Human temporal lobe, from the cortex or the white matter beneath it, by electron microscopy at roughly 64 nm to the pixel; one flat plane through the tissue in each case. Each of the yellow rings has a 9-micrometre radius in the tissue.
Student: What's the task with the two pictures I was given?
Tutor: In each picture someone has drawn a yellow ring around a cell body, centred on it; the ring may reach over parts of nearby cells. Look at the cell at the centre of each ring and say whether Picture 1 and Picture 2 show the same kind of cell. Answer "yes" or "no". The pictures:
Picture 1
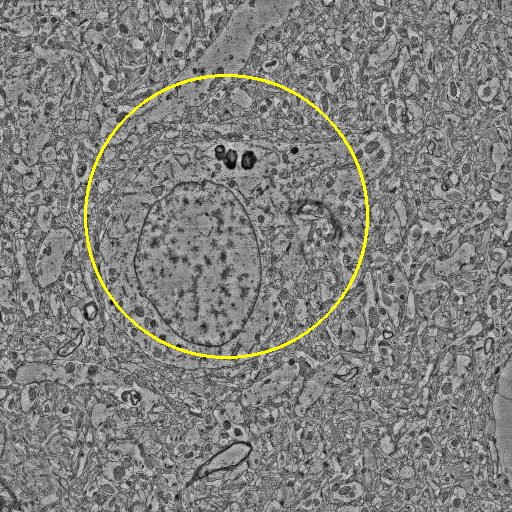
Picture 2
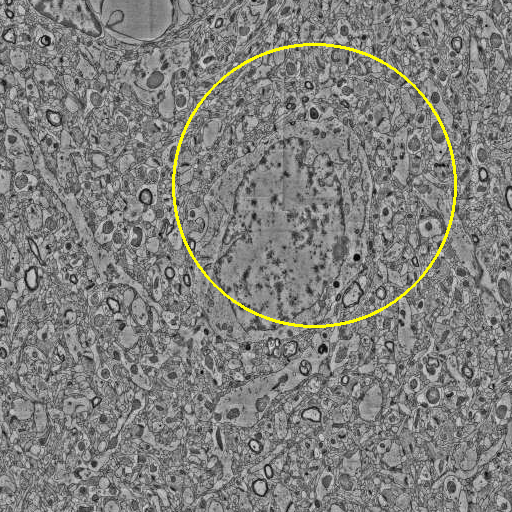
no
